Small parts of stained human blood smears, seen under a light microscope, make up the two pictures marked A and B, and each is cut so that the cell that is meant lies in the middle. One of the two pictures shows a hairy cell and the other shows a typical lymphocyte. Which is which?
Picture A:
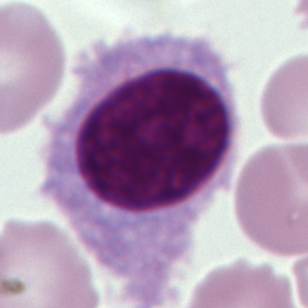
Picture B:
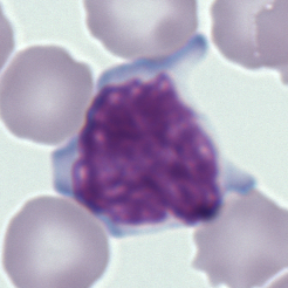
A: hairy cell
B: typical lymphocyte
